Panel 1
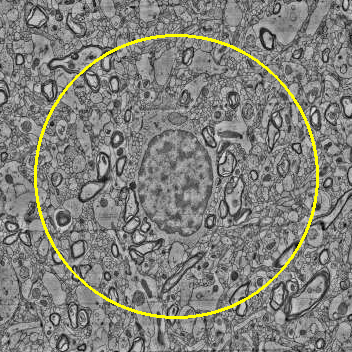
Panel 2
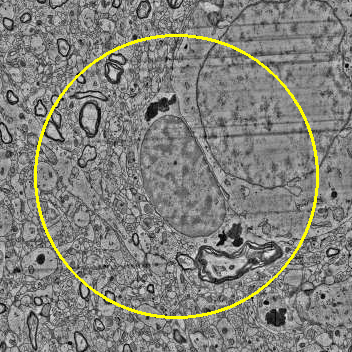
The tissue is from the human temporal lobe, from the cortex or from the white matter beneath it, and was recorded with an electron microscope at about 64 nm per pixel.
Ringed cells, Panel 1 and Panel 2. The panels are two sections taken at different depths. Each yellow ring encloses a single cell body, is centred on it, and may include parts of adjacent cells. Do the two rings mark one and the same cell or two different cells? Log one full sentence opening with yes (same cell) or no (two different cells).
No, the rings mark separate cells, one per ring.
